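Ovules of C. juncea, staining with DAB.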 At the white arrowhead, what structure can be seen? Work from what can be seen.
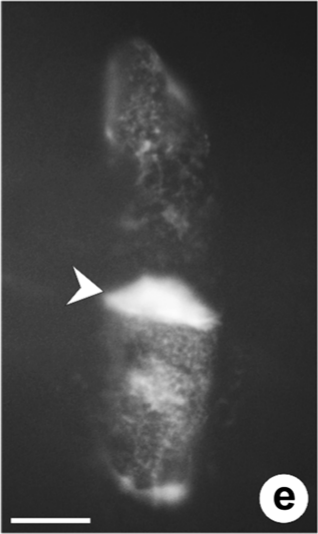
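Transversal wall between megaspores. A very bright thick band crosses the cell file. It lies between an upper and a lower cell.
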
